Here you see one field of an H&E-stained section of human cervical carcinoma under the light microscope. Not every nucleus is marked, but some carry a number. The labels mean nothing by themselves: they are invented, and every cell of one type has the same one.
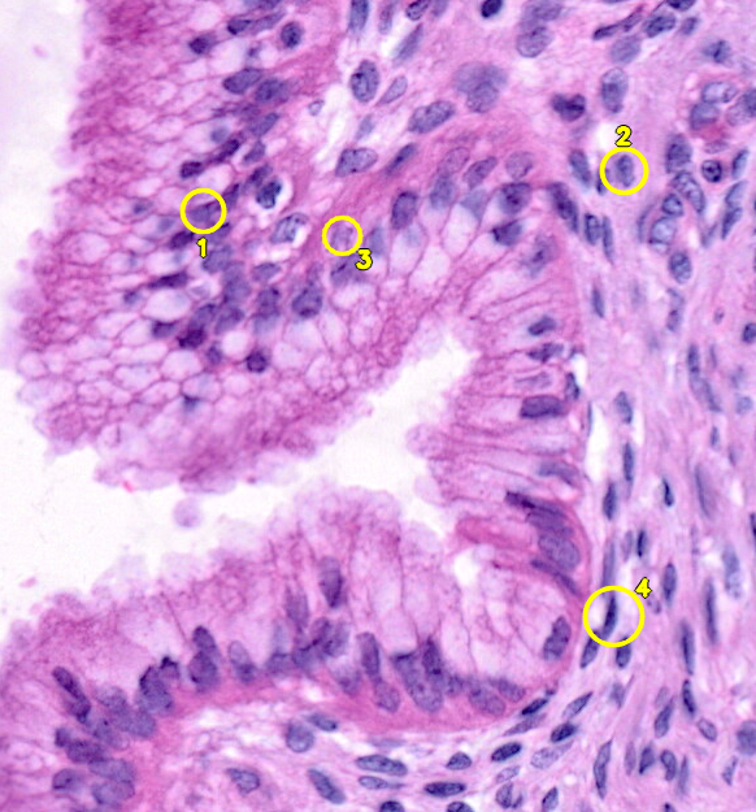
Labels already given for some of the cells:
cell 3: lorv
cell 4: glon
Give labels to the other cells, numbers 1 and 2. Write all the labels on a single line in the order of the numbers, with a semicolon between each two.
lorv; glon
